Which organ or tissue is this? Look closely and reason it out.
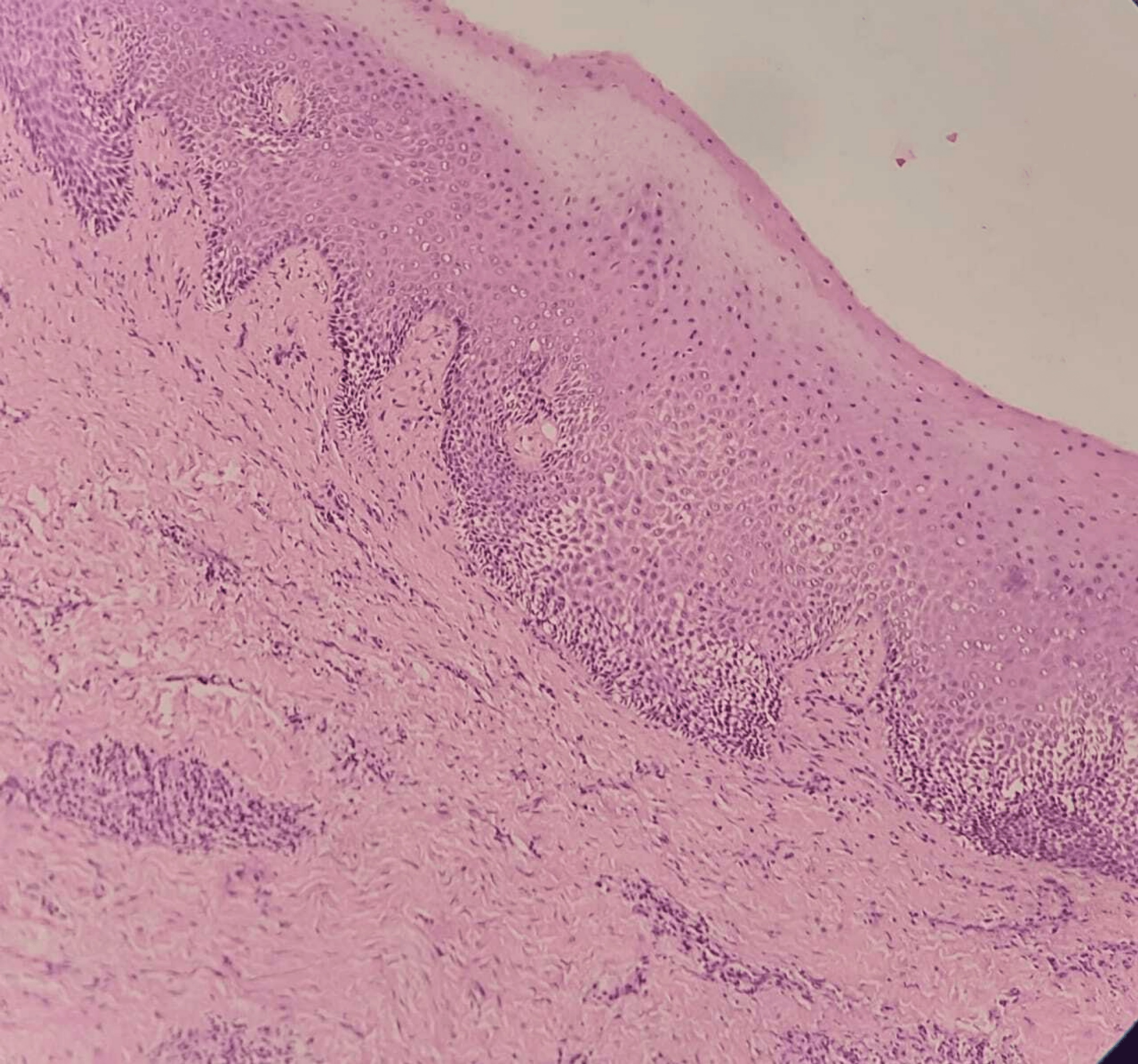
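A thick stratified squamous epithelium runs along the upper right of the panel. The outermost layer is a flattened, pale eosinophilic layer in which small nuclei are still present. Rete ridges extend down into the underlying connective tissue.
Hence: hyperplastic parakeratinized epithelium.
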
